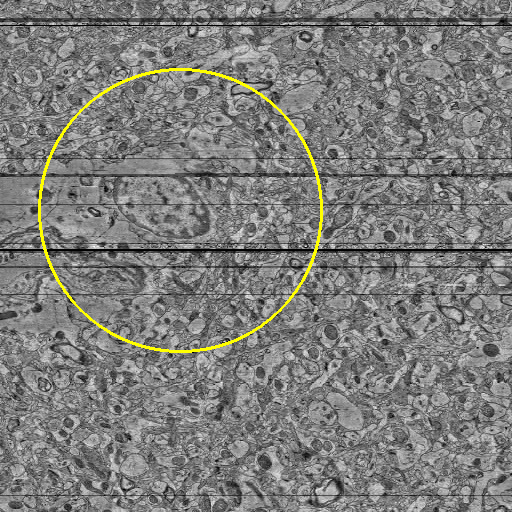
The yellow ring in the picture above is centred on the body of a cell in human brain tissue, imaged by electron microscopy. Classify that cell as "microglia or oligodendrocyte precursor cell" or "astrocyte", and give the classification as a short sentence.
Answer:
The cell in the middle of the ring is a microglial cell or oligodendrocyte precursor cell.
